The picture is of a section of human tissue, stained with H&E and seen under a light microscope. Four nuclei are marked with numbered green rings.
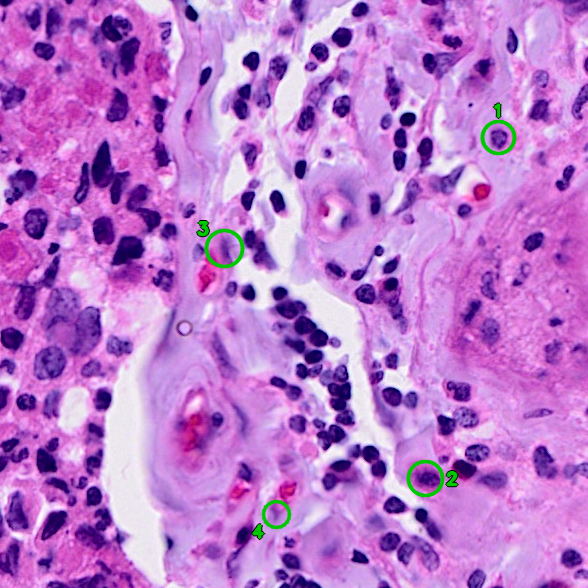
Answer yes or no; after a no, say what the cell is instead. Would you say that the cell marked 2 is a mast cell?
Yes.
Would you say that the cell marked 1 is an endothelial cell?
No, it is a mast cell.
